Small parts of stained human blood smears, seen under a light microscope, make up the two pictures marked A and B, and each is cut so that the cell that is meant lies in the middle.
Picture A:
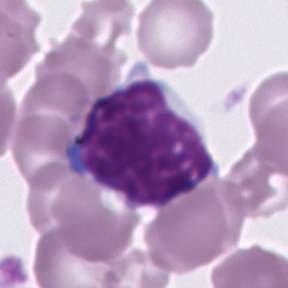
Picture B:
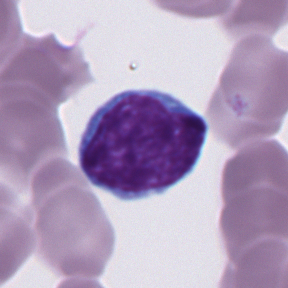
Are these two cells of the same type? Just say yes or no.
yes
